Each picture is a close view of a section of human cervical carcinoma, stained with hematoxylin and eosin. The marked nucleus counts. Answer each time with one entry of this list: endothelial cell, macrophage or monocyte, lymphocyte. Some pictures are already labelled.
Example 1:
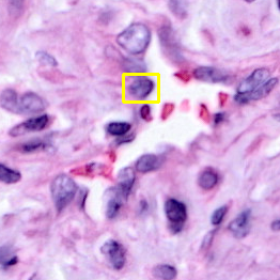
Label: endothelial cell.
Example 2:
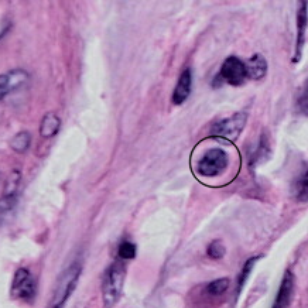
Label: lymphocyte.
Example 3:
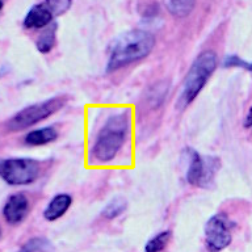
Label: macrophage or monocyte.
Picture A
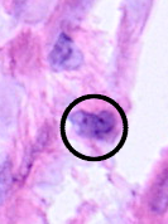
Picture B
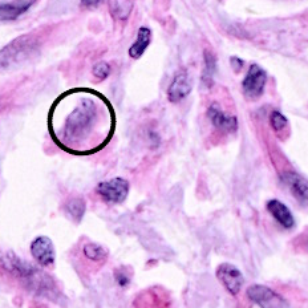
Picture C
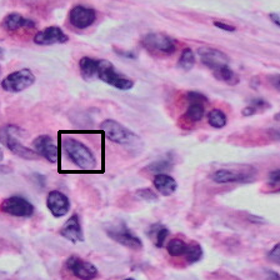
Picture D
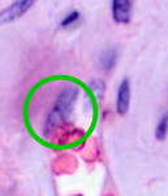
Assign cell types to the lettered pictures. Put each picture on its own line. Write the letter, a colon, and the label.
A: macrophage or monocyte.
B: macrophage or monocyte.
C: endothelial cell.
D: endothelial cell.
